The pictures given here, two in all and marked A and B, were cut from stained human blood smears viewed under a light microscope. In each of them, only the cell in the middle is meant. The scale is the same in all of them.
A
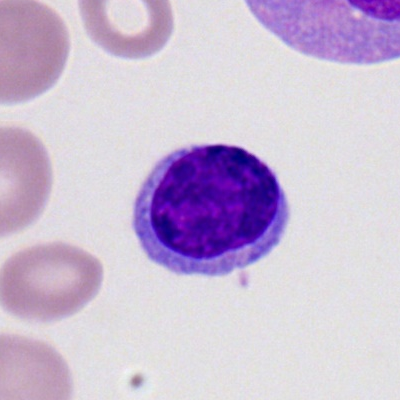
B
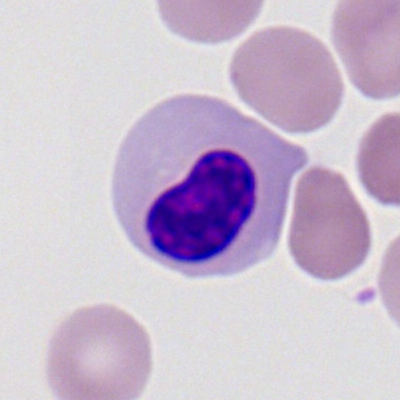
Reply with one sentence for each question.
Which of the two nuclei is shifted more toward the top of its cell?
The nucleus in crop A lies further toward the top of its cell.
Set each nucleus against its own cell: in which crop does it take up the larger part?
It is the cell in crop A that is filled more by its nucleus.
